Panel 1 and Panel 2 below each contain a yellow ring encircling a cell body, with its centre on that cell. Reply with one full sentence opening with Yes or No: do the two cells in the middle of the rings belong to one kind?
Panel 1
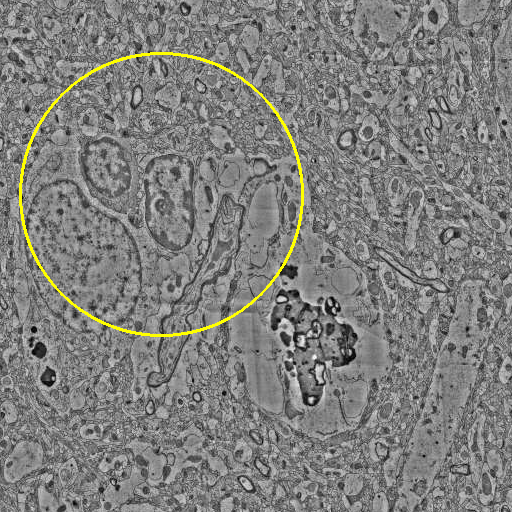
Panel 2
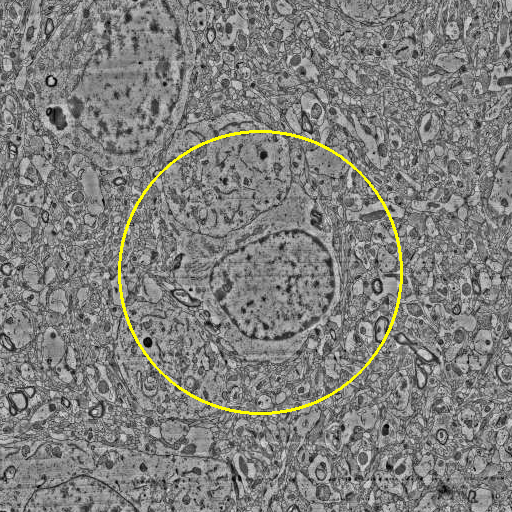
Yes, the cells at the middle of the Panel 1 ring and the Panel 2 ring are of one kind.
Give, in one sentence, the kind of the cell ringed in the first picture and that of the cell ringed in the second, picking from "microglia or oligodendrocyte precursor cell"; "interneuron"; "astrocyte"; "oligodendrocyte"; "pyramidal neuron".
Both cells are the same kind, each one being a microglial cell or oligodendrocyte precursor cell.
